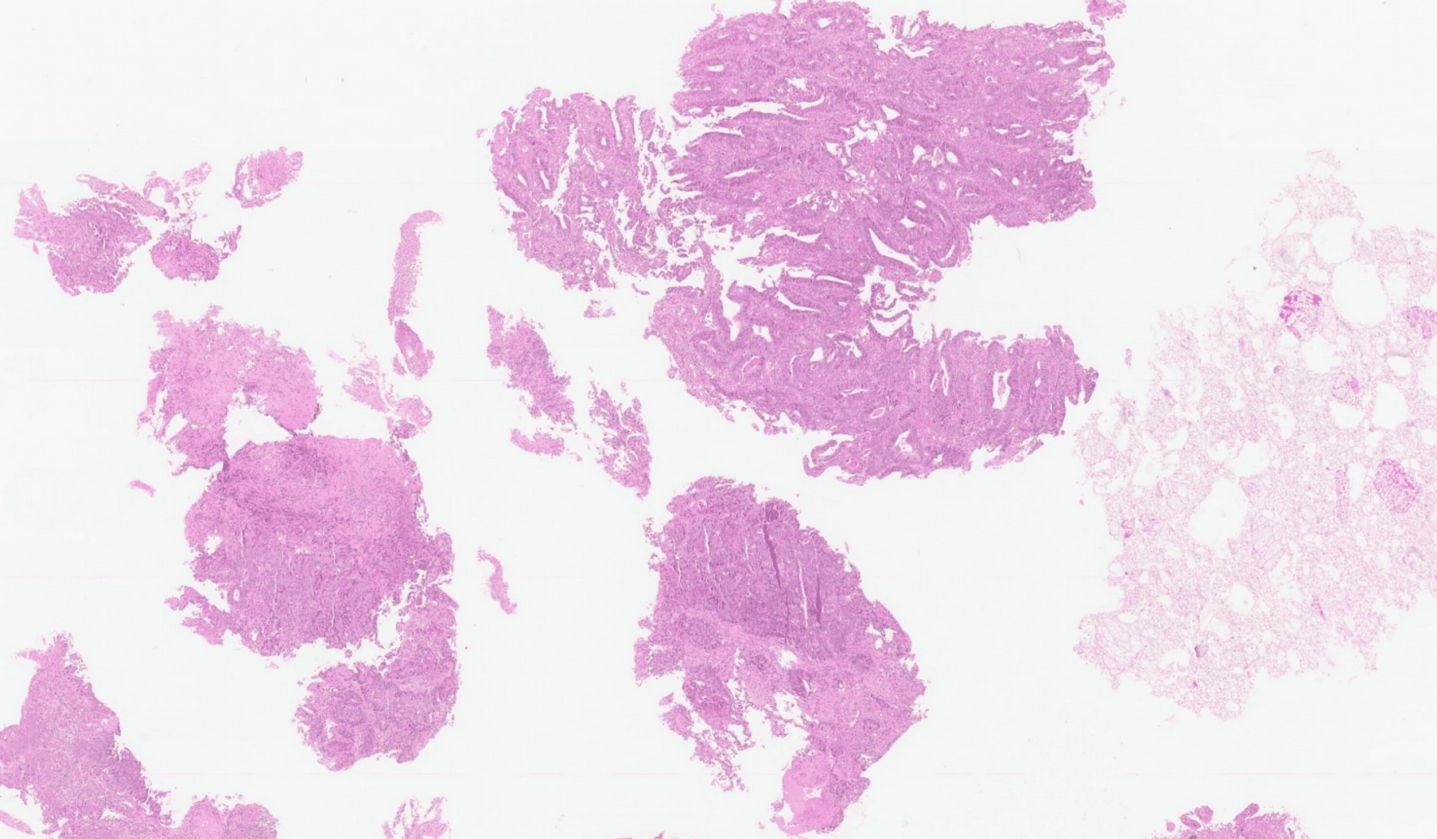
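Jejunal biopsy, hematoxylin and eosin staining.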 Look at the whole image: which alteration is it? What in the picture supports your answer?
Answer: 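Adenocarcinoma. Several large fragments are densely packed with pink-purple tissue that fills most of each fragment. The upper central fragment is crowded with elongated, irregular, branching tubular spaces. Other fragments show solid sheets without clear lumens.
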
